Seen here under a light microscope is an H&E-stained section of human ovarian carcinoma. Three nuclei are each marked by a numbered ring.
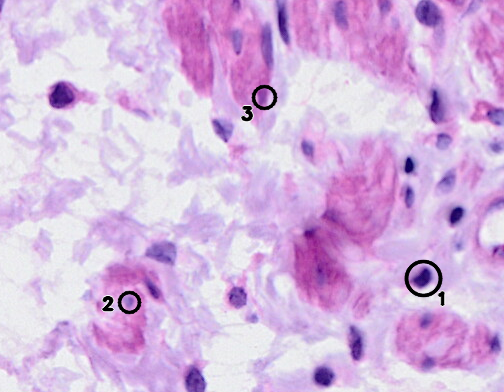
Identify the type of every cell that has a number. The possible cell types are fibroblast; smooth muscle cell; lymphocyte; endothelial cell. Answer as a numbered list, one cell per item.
1. lymphocyte
2. smooth muscle cell
3. smooth muscle cell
